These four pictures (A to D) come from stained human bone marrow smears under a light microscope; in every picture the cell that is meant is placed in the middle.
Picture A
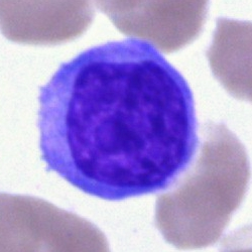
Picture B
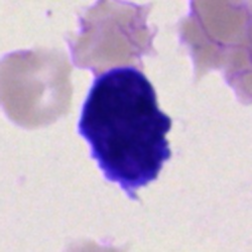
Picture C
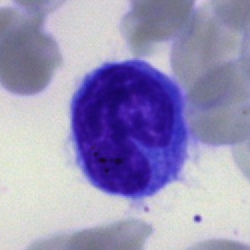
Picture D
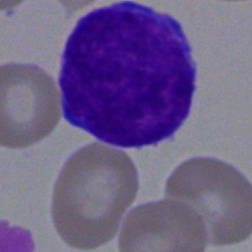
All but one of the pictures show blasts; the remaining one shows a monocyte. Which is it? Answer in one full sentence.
The picture with the monocyte is C.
